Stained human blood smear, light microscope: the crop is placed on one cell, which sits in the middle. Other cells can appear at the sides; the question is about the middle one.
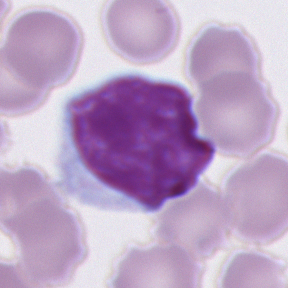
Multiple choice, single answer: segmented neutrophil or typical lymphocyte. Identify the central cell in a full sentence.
Whatever else lies nearby, the middle cell is a typical lymphocyte.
